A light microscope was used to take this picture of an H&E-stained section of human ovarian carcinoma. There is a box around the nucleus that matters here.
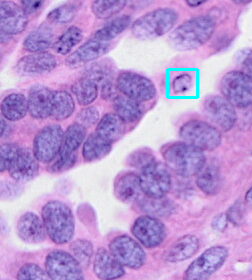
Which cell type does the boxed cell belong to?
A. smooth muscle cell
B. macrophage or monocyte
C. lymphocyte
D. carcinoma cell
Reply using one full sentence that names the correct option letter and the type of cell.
Of the options offered, B is correct, as the boxed cell is a macrophage or monocyte.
